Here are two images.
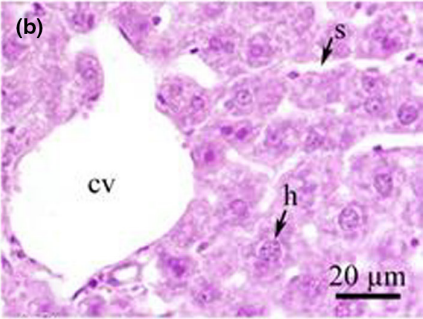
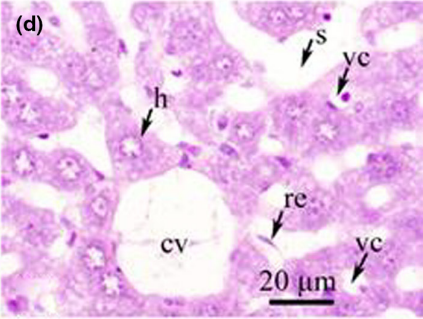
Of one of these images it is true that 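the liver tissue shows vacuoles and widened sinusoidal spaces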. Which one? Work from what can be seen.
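Second image: clear vacuole-like spaces and broad white gaps between the liver cell cords. First image: cords of liver cells are compact with narrow sinusoids and no clear vacuoles. The answer: the second image.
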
